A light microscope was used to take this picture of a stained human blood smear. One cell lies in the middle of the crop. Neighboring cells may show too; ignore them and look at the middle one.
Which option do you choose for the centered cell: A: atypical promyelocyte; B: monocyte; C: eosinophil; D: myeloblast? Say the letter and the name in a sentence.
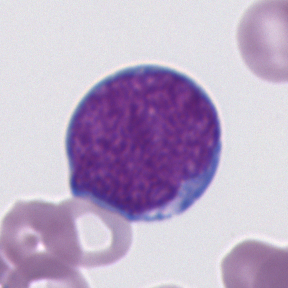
Option D is the correct option, with the middle cell being a myeloblast.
